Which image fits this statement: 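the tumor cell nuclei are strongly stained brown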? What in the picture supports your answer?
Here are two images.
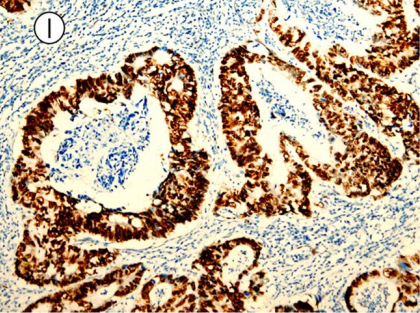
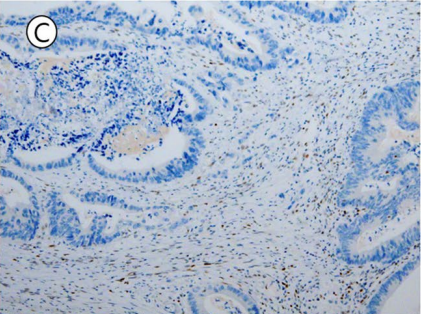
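The first image. First image: nearly all tumor nuclei are deep brown. Second image: tumor nuclei are blue, only scattered stromal nuclei are brown.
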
